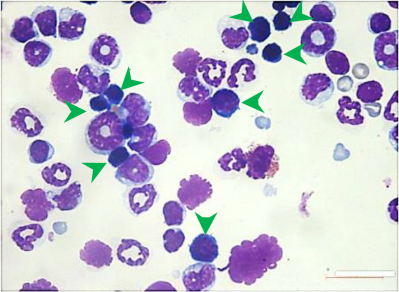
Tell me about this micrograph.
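Marrow cells of mixed kinds are spread out, many with ring-shaped or lobed nuclei in pinkish-lilac cytoplasm, next to small round cells with compact, very dark nuclei and a thin rim of greyish-blue cytoplasm. Few large cells with deep blue cytoplasm are present. The small dark-nucleated cells are maturing red cell precursors, polychromatic and orthochromatic erythroblasts, set in a normal mix of marrow cells.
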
